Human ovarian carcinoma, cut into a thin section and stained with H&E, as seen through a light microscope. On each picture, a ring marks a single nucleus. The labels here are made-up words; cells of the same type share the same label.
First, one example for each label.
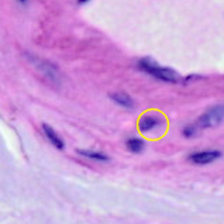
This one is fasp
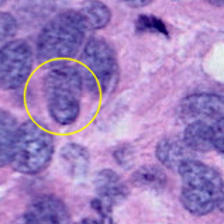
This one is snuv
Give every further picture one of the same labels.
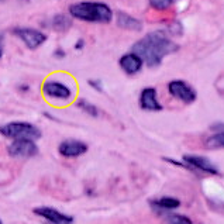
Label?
fasp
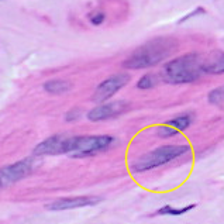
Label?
fasp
